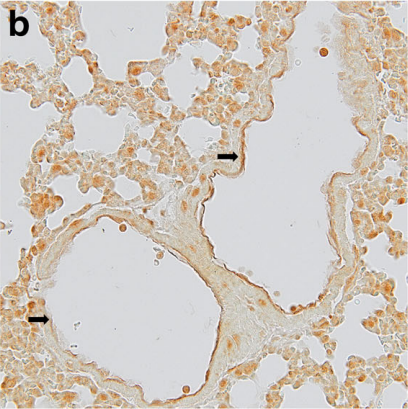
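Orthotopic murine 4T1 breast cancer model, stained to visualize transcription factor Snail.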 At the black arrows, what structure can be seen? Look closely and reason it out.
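The arrows point at the thin walls lining large, round, empty lumina. The lumina are clear and open, framed by a thin cellular lining and a band of pale connective tissue. The answer: pulmonary blood vessels.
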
